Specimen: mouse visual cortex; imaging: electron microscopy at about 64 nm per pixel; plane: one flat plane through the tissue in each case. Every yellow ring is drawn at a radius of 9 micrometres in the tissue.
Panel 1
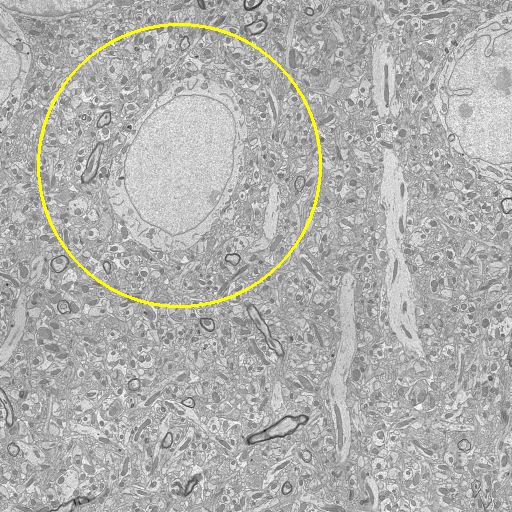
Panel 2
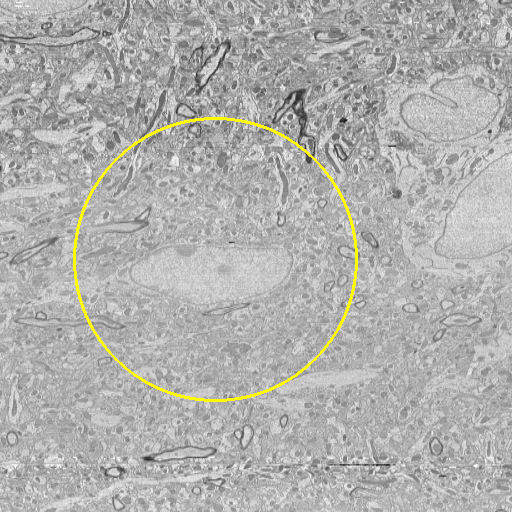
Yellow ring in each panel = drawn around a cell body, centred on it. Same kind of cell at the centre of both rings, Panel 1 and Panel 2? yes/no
no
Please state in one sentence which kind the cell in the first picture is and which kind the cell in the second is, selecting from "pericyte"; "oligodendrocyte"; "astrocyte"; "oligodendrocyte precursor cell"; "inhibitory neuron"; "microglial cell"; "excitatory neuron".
The first ringed cell is an excitatory neuron, the second ringed cell an astrocyte.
